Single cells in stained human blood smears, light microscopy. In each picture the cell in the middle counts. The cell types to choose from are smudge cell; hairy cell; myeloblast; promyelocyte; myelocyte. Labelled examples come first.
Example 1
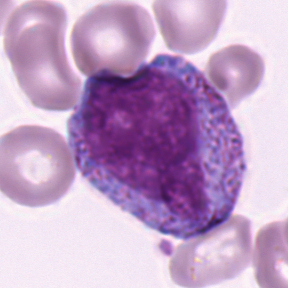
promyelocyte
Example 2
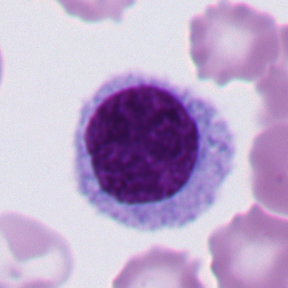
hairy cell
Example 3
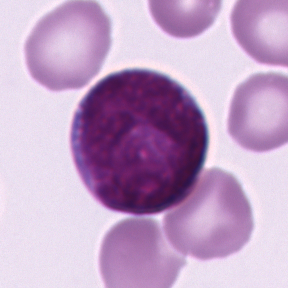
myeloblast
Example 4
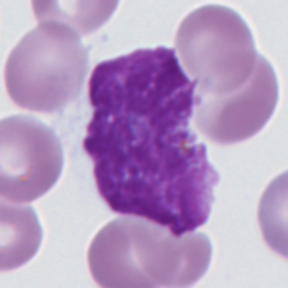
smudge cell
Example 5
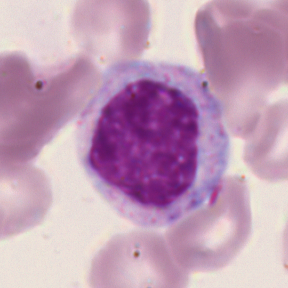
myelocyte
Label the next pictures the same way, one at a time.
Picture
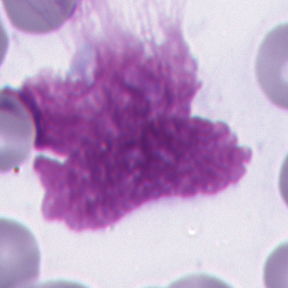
smudge cell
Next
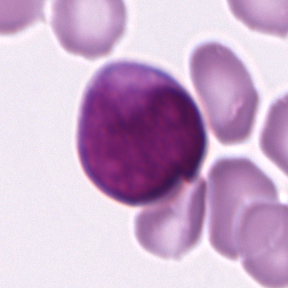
myeloblast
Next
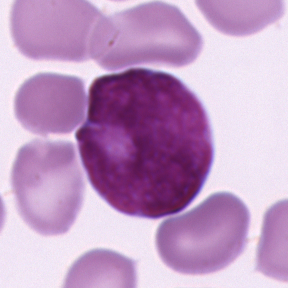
myeloblast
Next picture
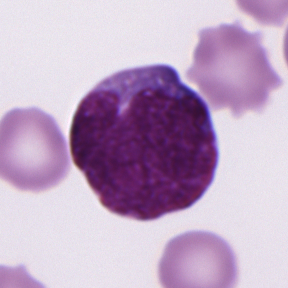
myeloblast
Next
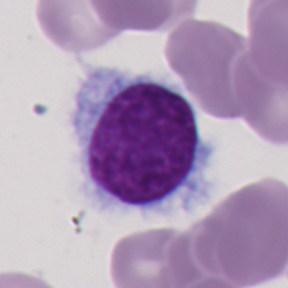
hairy cell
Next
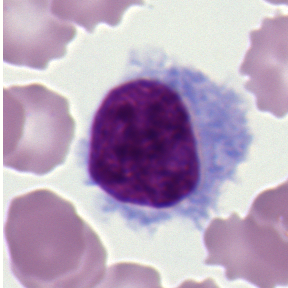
hairy cell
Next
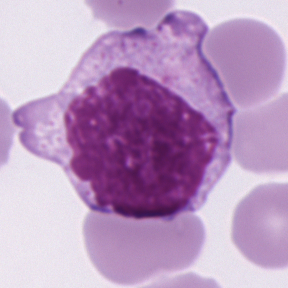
myelocyte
